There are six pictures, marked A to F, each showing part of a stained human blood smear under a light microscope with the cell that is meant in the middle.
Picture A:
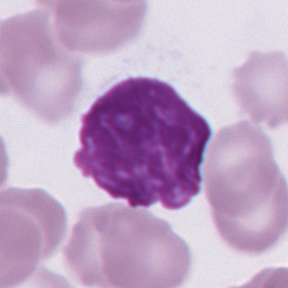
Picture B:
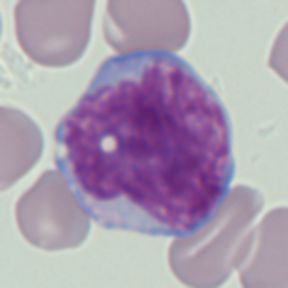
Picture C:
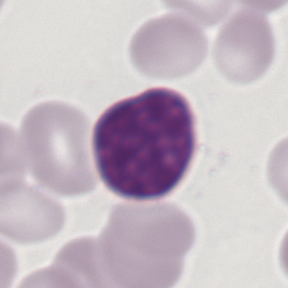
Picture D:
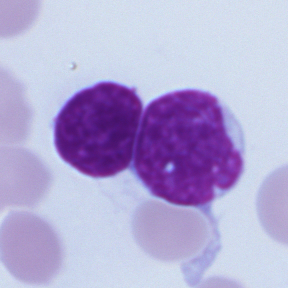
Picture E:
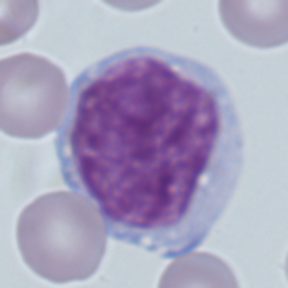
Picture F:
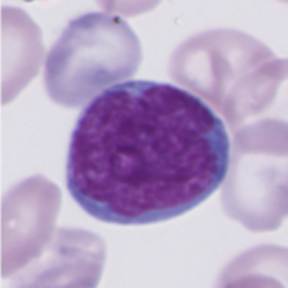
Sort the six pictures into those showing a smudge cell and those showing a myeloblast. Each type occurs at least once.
A: smudge cell
B: myeloblast
C: smudge cell
D: myeloblast
E: myeloblast
F: myeloblast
